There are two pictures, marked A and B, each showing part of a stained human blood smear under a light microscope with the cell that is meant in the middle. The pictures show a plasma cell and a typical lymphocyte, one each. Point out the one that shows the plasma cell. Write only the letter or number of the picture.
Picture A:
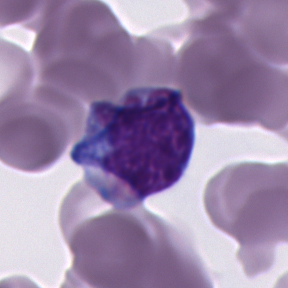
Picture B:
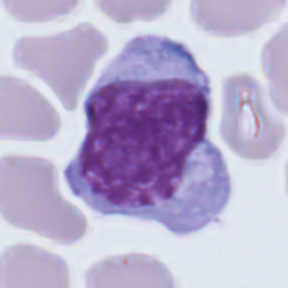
B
